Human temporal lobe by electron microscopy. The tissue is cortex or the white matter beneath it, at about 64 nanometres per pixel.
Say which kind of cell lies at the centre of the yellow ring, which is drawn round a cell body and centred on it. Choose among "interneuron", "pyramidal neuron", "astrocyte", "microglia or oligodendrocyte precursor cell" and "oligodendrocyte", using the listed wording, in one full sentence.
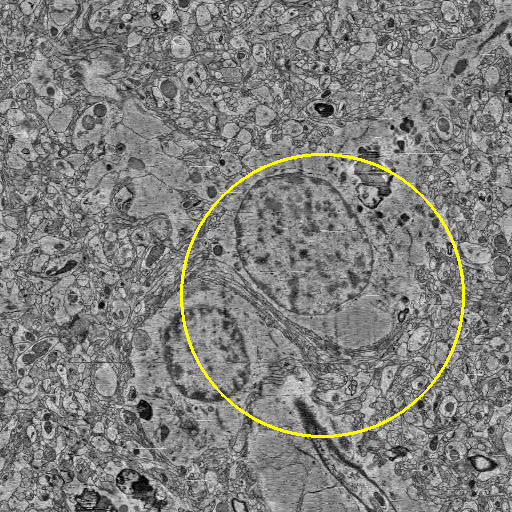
Going by the list, the cell at the yellow ring's centre is an astrocyte.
